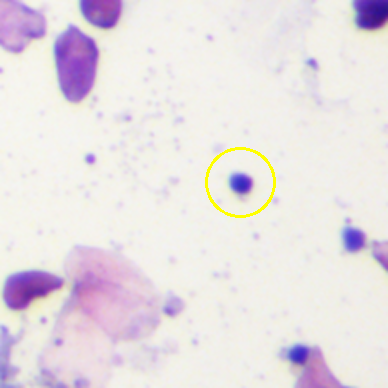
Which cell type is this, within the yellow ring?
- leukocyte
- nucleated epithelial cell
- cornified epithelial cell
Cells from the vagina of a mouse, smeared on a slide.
Within the ring is a leukocyte.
